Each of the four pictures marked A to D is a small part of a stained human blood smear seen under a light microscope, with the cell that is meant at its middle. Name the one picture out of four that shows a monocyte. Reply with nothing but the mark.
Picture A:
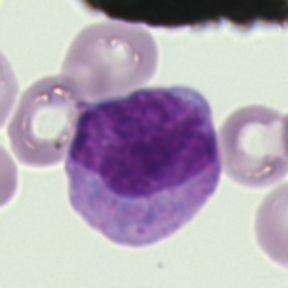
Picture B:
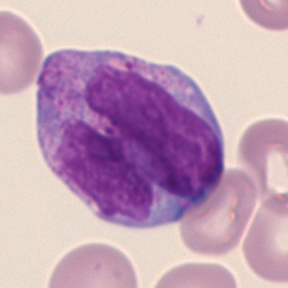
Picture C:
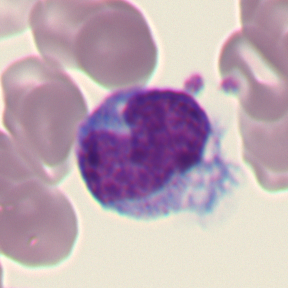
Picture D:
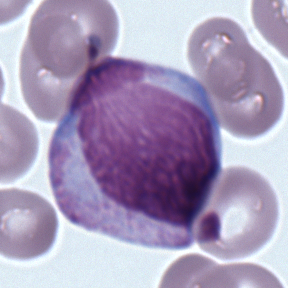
C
